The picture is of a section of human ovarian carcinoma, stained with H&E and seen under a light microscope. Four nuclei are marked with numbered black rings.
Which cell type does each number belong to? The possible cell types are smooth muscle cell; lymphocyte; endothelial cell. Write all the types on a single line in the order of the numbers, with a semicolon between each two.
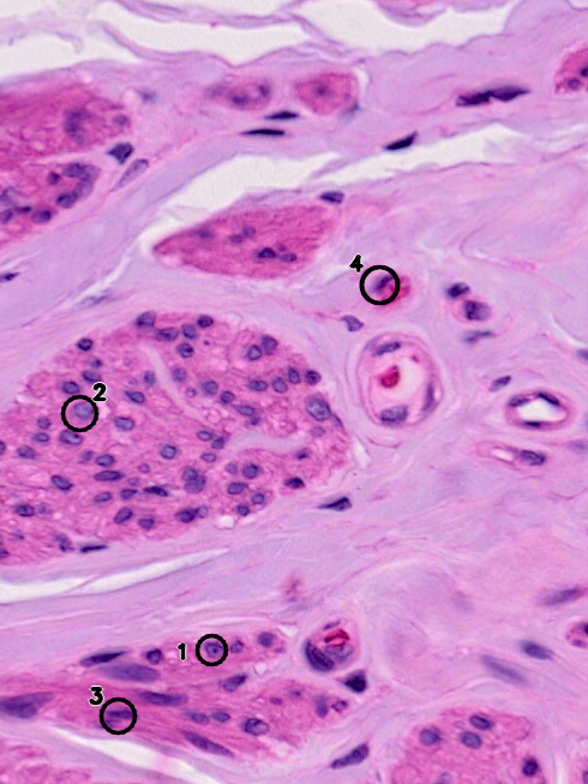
smooth muscle cell; smooth muscle cell; smooth muscle cell; endothelial cell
